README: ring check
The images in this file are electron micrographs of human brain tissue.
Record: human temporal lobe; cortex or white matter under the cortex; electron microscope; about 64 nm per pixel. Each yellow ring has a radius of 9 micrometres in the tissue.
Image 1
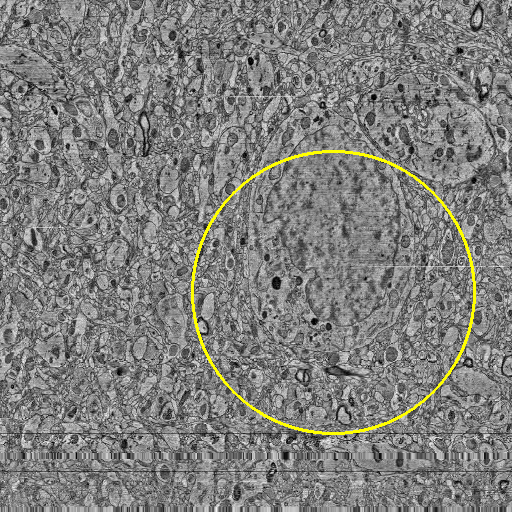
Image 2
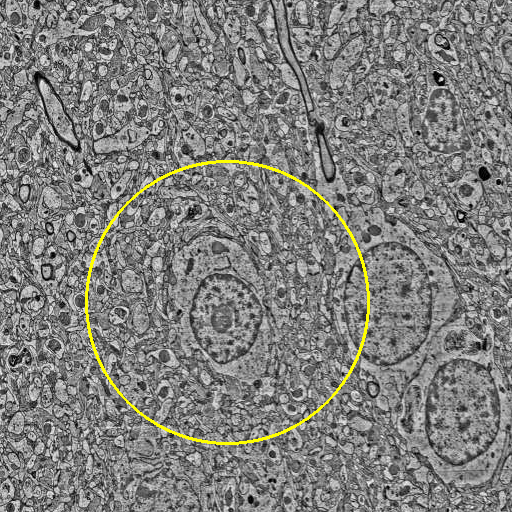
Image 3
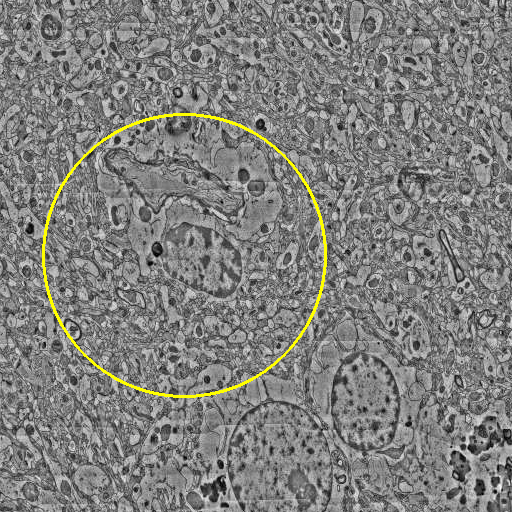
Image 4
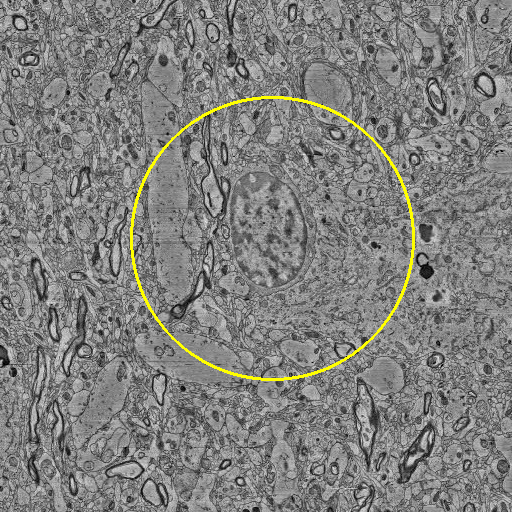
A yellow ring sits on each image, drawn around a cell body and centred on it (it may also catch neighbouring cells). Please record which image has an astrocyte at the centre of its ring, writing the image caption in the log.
Image 2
